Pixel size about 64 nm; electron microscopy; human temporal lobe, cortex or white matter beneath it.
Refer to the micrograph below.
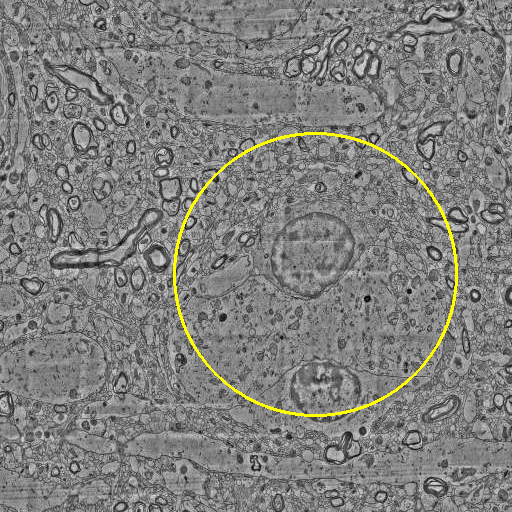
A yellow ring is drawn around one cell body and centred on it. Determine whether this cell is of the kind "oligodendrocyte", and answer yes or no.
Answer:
yes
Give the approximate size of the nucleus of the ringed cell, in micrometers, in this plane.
Approximately 5 micrometers across in this plane.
